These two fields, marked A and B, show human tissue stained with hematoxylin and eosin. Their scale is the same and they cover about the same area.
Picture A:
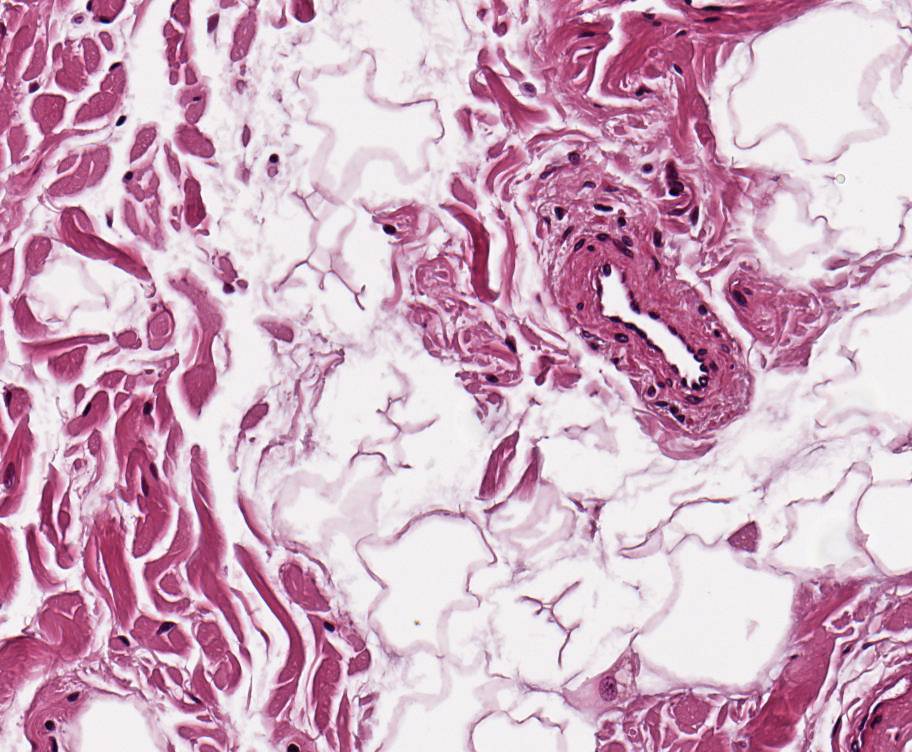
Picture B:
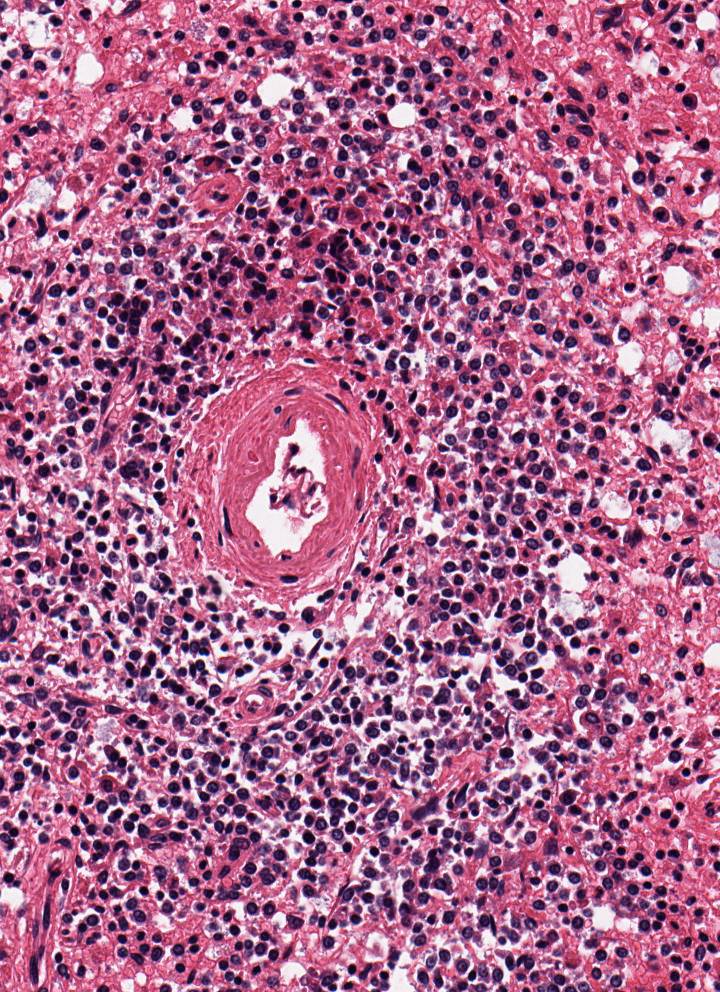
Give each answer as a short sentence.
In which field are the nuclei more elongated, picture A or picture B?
It is picture A whose nuclei are the more elongated.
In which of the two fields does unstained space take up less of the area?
It is picture B that stained tissue fills more completely.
